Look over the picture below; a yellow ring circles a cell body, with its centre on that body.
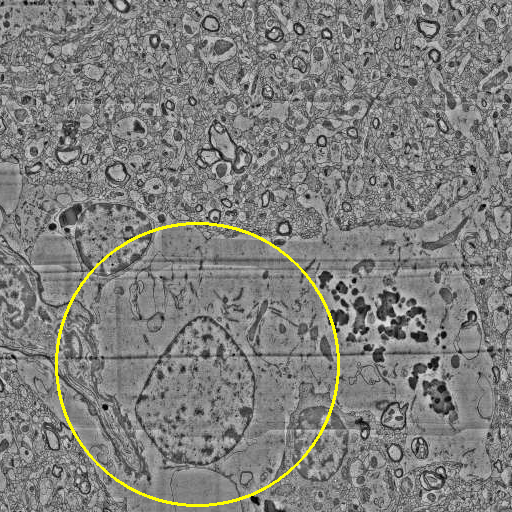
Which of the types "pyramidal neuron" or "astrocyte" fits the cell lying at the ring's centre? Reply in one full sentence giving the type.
The picture shows an astrocyte at the centre of the yellow ring.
